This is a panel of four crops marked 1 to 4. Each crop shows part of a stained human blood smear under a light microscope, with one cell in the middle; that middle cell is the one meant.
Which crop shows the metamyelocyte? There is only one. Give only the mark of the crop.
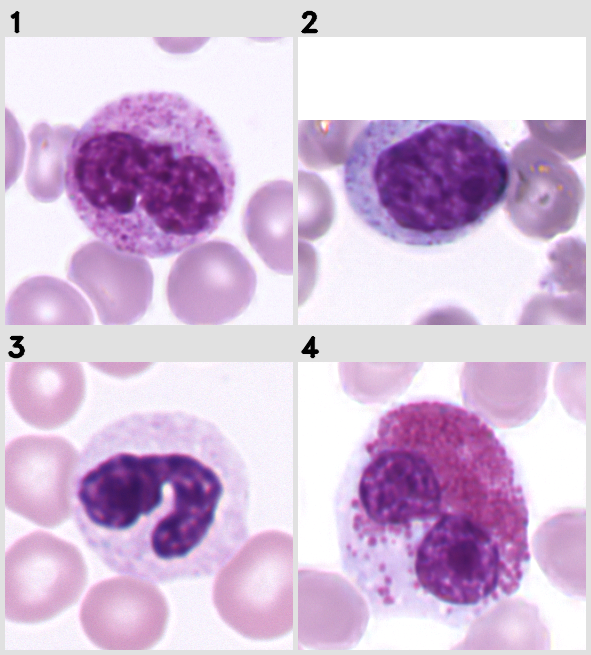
2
